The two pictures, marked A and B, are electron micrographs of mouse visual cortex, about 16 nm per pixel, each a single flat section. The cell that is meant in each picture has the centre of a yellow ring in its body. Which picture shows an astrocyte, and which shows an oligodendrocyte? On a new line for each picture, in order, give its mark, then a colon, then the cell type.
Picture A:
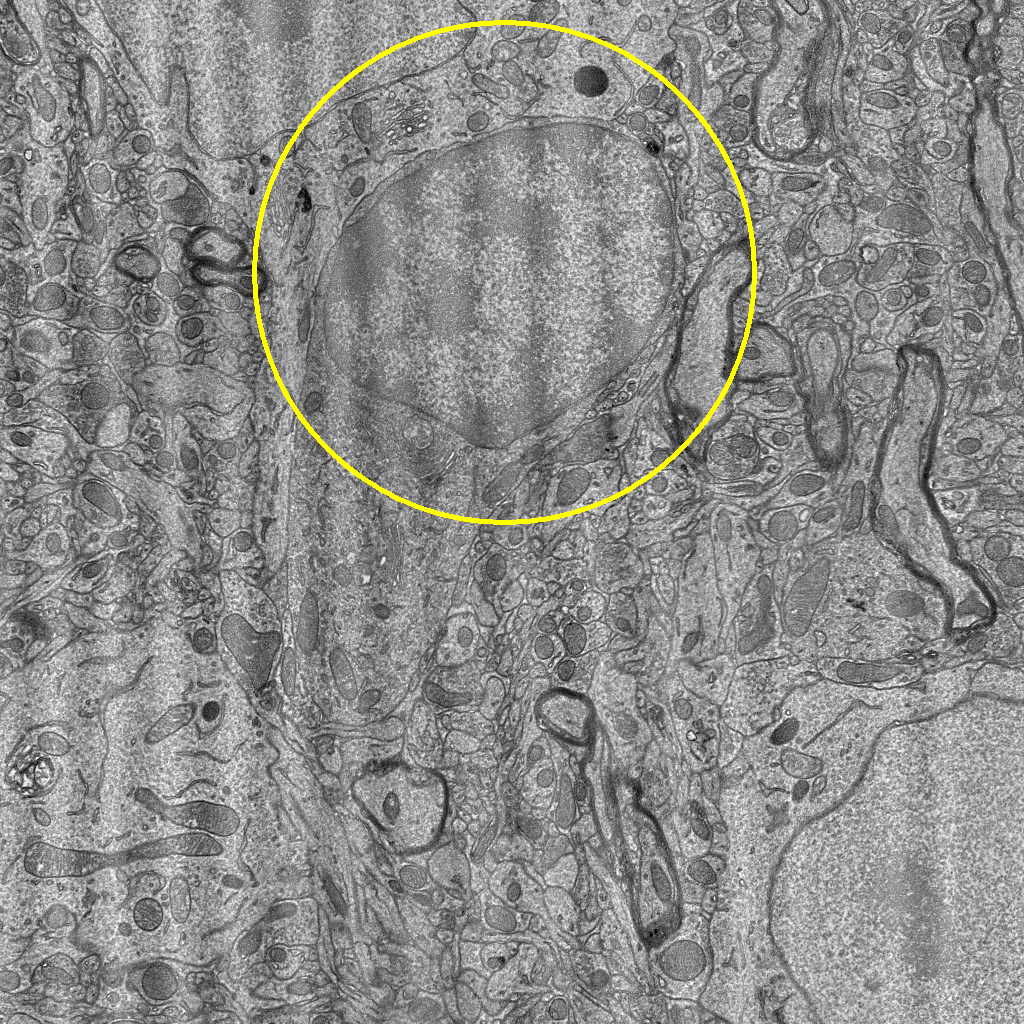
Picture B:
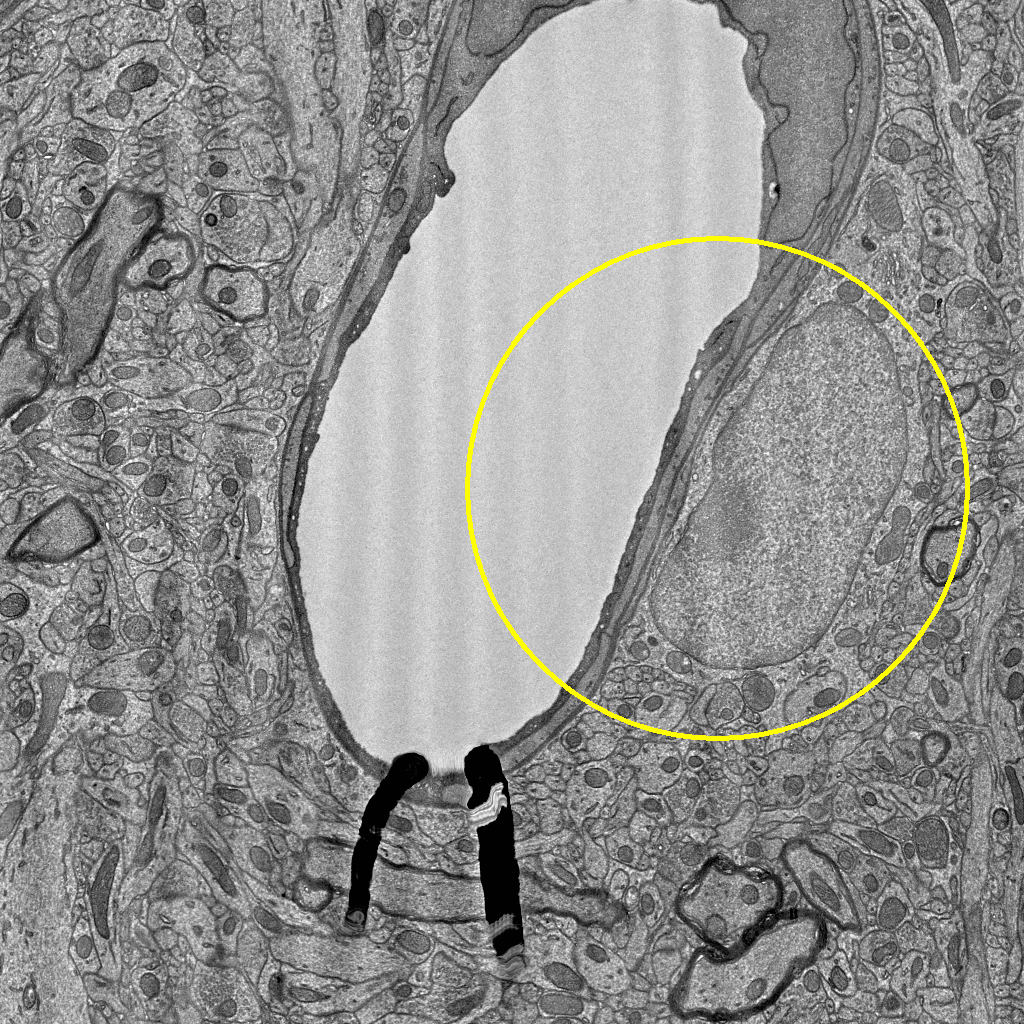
A: oligodendrocyte
B: astrocyte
